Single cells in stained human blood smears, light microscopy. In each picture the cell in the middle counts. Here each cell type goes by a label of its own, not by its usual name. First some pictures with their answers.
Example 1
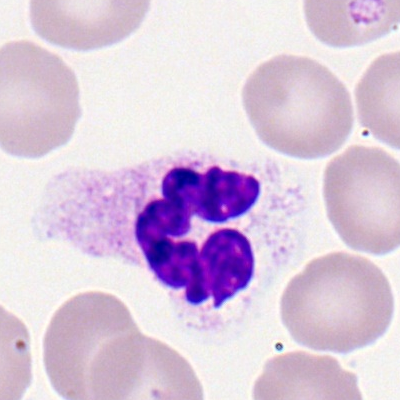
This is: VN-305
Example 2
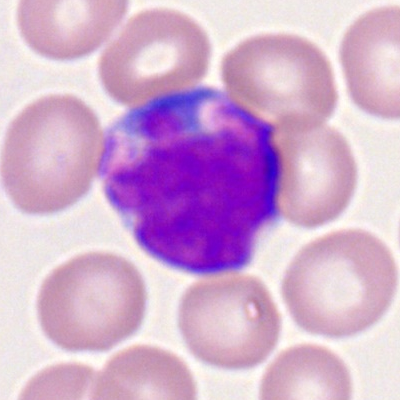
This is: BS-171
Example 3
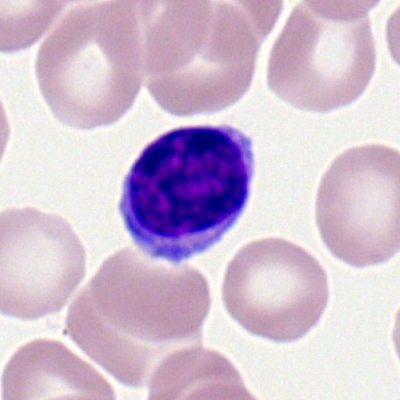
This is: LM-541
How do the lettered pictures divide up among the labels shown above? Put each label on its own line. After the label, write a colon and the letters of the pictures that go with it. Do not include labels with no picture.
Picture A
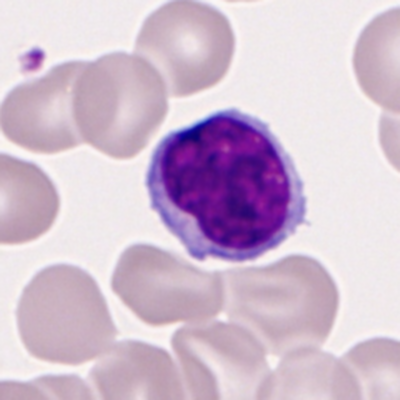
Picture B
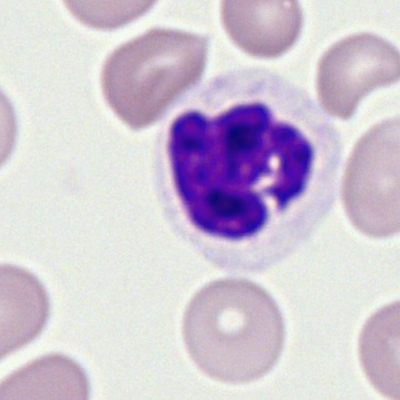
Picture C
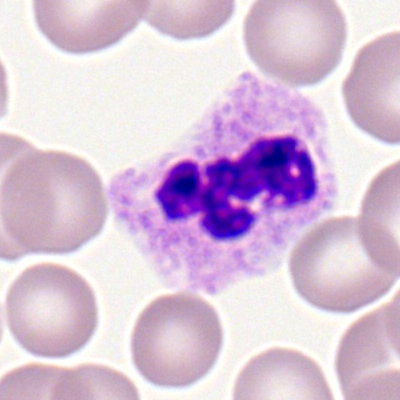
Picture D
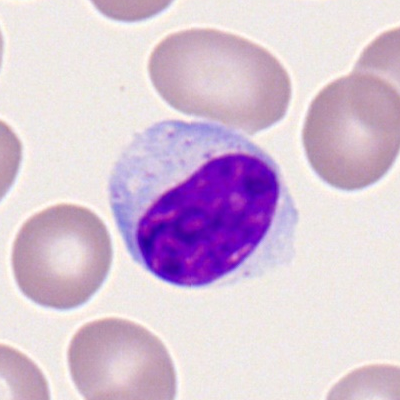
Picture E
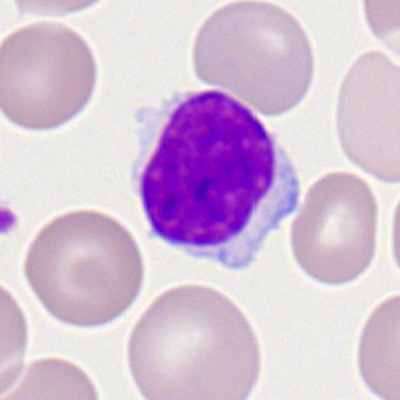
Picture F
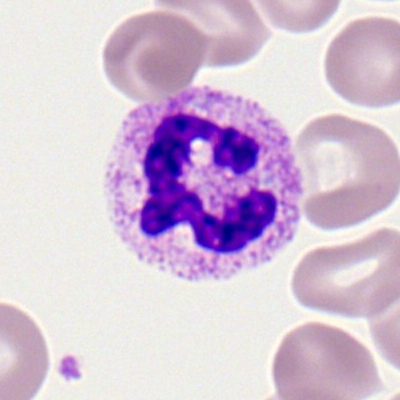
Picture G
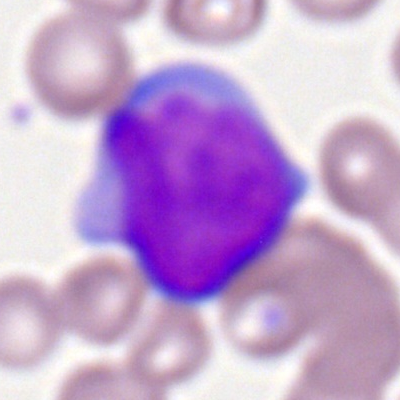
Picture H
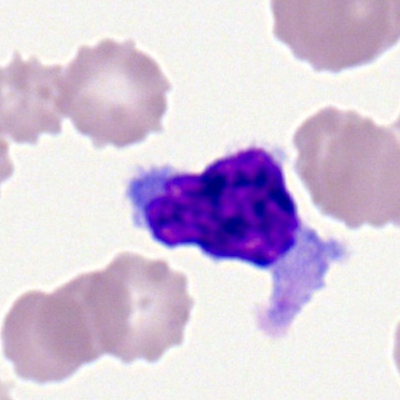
VN-305: B, C, F
BS-171: G
LM-541: A, D, E, H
